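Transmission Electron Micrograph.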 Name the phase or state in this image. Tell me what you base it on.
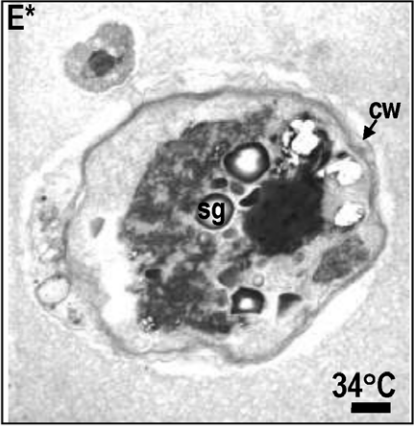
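Late non-reversible apoptosis. The cell contents are shrunken into a condensed mass pulled away from the wall. A dense dark clump lies within the shrunken contents.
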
